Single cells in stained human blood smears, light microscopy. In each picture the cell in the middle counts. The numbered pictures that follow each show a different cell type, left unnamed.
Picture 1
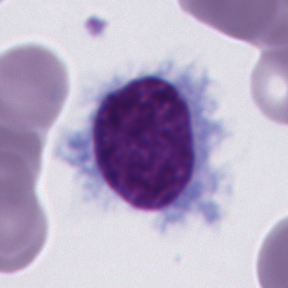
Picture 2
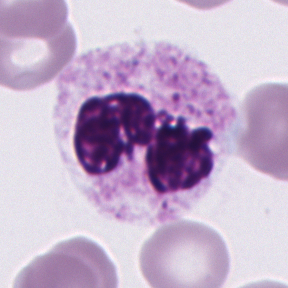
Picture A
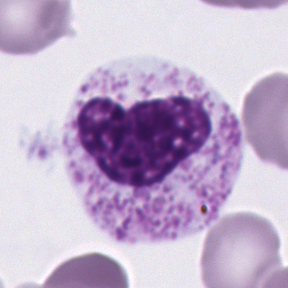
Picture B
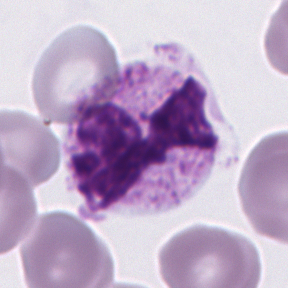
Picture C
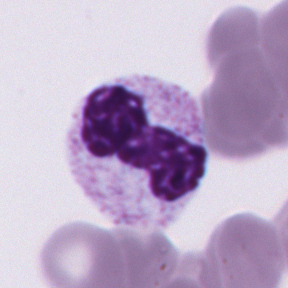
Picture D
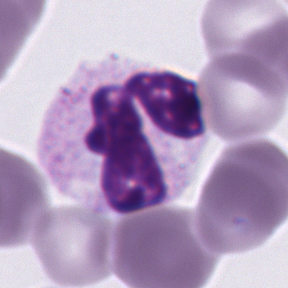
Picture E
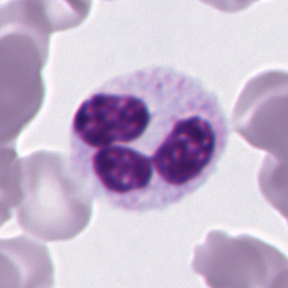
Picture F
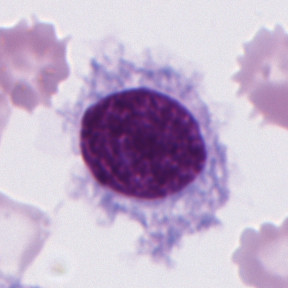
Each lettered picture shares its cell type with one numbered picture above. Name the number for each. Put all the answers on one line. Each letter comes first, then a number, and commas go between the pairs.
A 2, B 2, C 2, D 2, E 2, F 1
